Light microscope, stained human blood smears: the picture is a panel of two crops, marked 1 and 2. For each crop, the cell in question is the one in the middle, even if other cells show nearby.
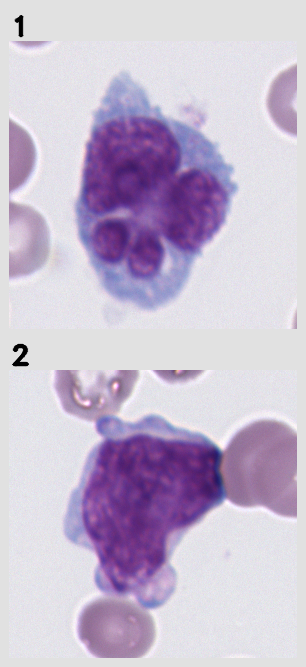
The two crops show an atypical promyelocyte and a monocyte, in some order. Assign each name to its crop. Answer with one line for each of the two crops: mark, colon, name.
1: monocyte
2: atypical promyelocyte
